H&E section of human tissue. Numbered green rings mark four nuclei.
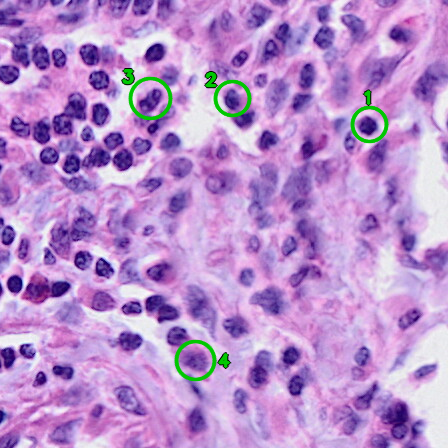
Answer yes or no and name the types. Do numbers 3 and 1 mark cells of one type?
Yes, cells 3 and 1 are both lymphocytes and thus of one type.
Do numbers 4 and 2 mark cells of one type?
No, cell 4 is typed as a macrophage or monocyte, and cell 2 is typed as a lymphocyte.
